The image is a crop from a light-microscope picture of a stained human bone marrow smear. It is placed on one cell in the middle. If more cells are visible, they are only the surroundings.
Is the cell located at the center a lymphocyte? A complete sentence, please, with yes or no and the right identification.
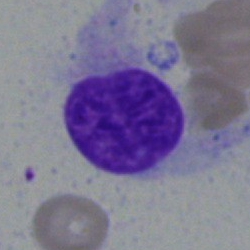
Yes, the cell in the middle is rightly called a lymphocyte.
